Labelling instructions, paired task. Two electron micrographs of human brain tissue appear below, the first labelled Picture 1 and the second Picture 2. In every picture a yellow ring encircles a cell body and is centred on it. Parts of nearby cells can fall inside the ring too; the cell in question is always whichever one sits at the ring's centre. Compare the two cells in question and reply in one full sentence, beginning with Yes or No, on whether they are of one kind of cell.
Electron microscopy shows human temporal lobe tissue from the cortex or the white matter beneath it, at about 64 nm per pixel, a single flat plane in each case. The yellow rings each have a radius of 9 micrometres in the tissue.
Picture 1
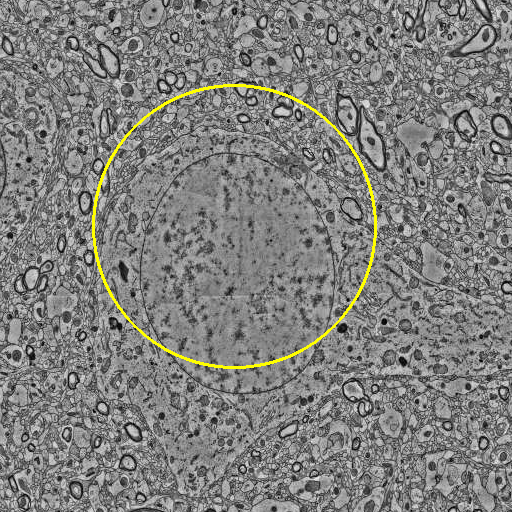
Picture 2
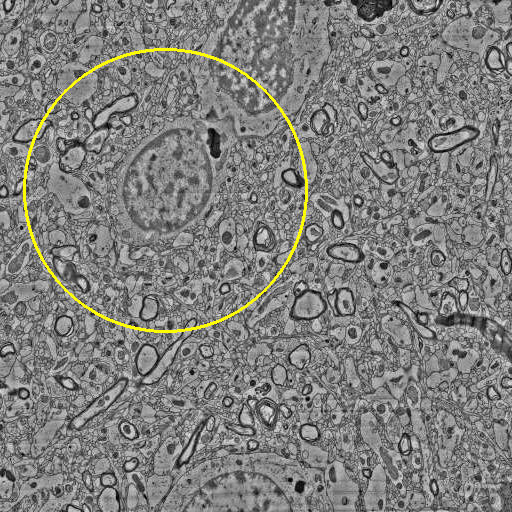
No, the two cells at the ring centres in Picture 1 and Picture 2 are of two kinds.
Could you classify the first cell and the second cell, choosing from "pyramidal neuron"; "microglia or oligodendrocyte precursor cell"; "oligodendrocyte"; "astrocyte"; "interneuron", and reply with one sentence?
The second cell is an oligodendrocyte, while the first is a pyramidal neuron.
